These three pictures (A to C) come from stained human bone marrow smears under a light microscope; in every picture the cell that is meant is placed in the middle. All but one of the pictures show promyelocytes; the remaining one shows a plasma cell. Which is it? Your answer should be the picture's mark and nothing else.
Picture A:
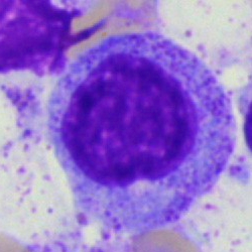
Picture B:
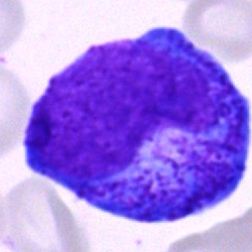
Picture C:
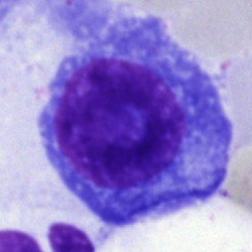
C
